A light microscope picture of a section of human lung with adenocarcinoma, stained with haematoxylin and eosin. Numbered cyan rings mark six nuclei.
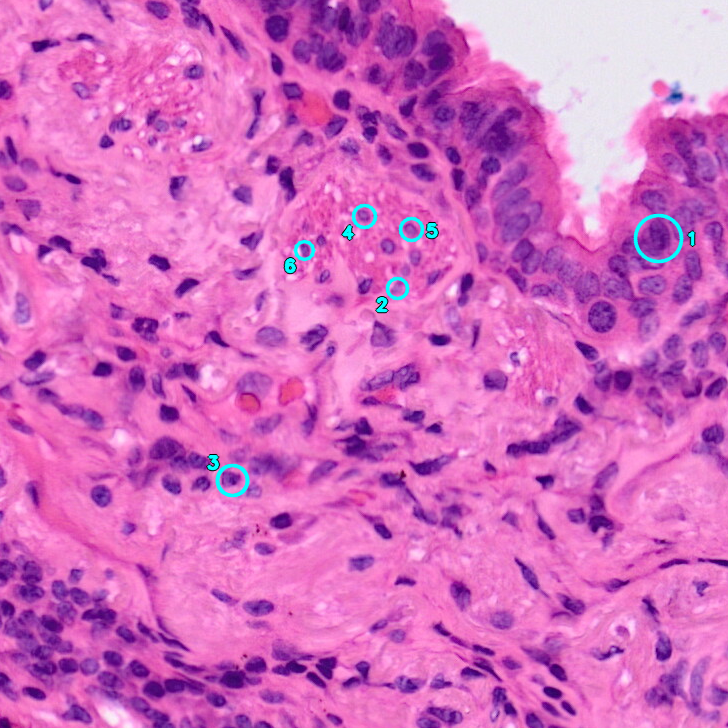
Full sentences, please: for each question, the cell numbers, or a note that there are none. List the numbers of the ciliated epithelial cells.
Cell 1 is a ciliated epithelial cell, which is true of none of the other numbered cells.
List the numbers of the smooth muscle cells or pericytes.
The identity of cells 2, 4, 5 and 6: they are smooth muscle cells or pericytes.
